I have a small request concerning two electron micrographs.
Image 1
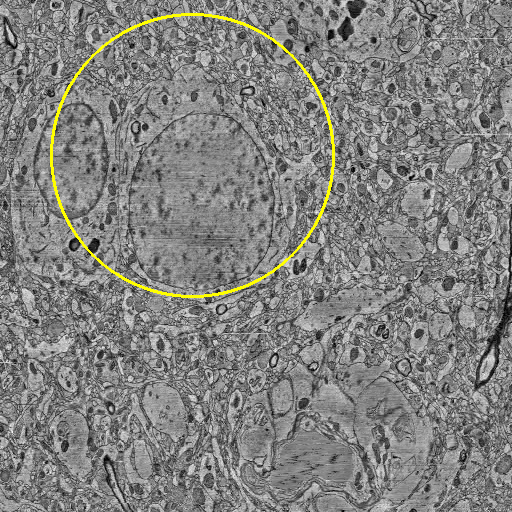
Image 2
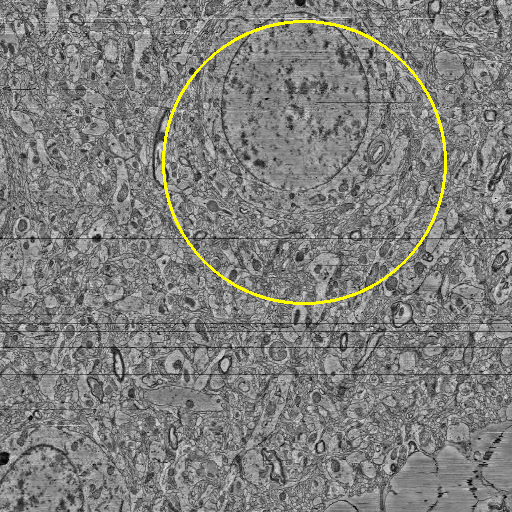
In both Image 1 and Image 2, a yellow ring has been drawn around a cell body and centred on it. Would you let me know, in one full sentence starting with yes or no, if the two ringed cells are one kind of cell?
Yes, the cells ringed in Image 1 and Image 2 are one kind of cell.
